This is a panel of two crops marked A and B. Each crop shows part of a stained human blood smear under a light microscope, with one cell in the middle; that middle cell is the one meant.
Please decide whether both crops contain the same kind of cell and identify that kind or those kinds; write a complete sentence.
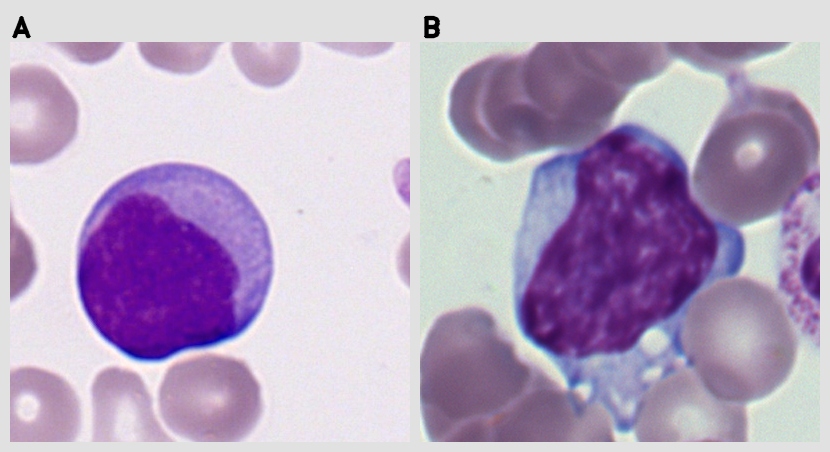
Yes, in the case of both crops, the central cells are blasts.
